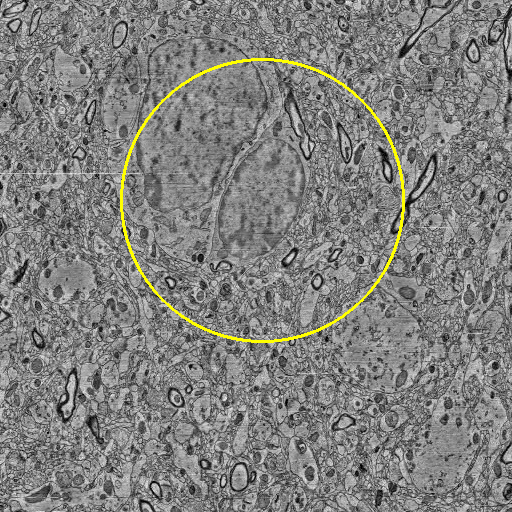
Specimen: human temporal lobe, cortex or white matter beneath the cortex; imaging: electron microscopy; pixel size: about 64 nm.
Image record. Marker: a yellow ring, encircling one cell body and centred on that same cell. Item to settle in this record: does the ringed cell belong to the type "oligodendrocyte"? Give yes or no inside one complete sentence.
Yes, in the picture, the cell centred within the yellow ring is of the stated type.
